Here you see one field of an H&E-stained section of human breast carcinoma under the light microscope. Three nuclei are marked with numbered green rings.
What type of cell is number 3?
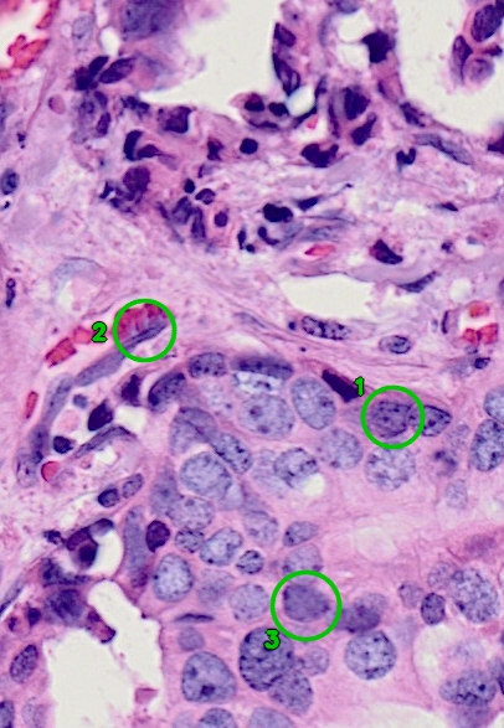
carcinoma cell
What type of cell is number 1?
carcinoma cell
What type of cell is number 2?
endothelial cell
